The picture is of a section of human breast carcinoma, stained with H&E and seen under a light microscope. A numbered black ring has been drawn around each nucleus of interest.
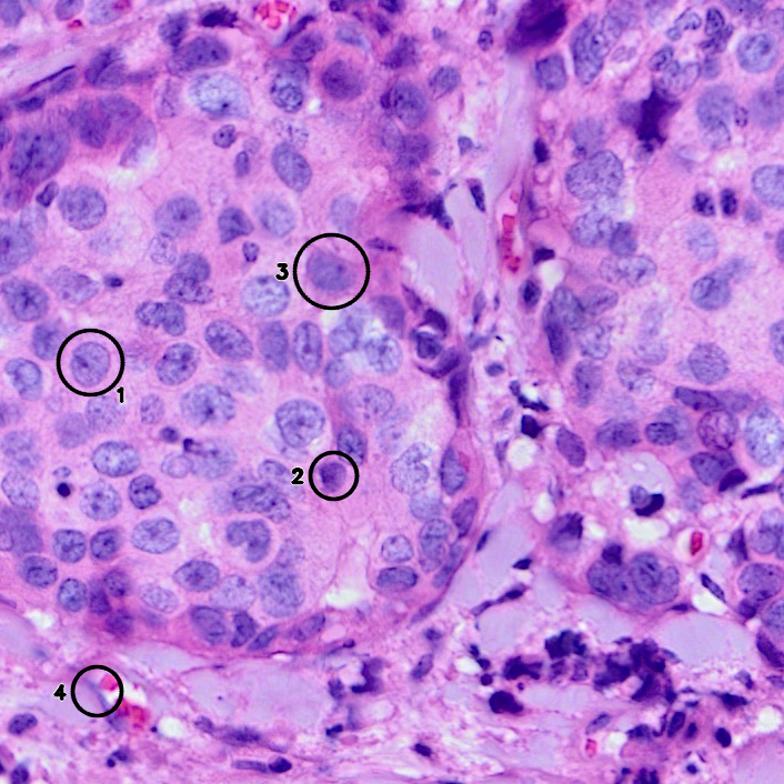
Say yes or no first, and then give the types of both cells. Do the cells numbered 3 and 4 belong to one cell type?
No, the cell labelled 3 is a carcinoma cell; the cell labelled 4 is an endothelial cell.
